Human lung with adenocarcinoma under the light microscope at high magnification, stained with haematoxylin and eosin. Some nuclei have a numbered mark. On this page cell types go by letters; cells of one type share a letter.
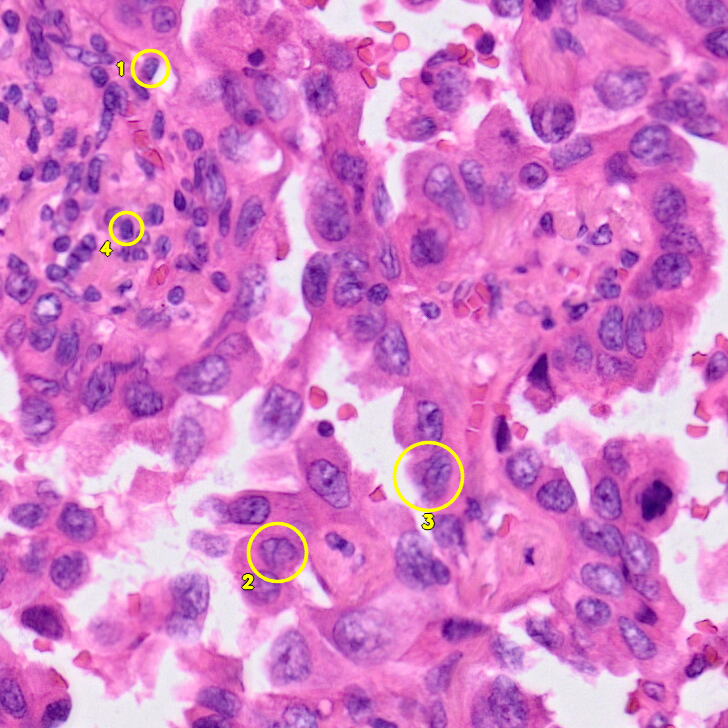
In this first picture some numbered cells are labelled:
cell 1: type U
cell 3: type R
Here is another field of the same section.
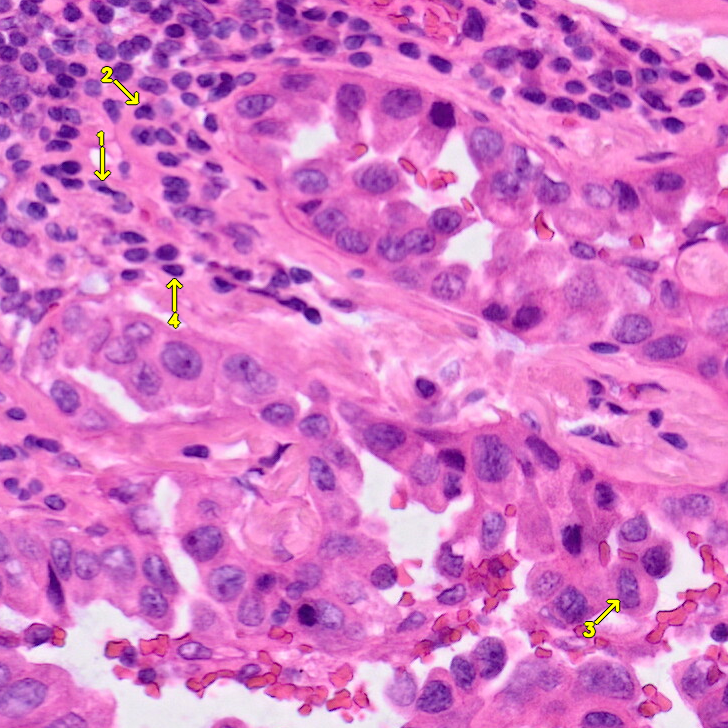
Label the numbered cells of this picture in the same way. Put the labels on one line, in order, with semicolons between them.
type U; type U; type R; type U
